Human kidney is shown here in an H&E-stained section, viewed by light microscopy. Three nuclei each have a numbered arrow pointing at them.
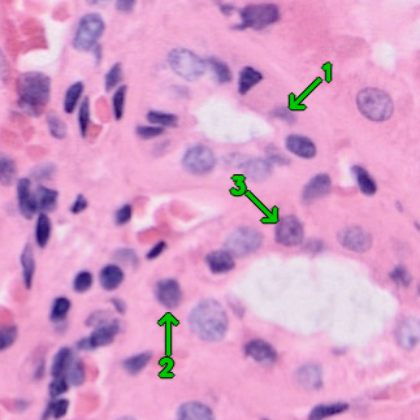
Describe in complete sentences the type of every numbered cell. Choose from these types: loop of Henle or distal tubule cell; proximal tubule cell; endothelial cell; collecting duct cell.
Cell 1 is a collecting duct cell. Cells 2 and 3 are loop of Henle or distal tubule cells.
